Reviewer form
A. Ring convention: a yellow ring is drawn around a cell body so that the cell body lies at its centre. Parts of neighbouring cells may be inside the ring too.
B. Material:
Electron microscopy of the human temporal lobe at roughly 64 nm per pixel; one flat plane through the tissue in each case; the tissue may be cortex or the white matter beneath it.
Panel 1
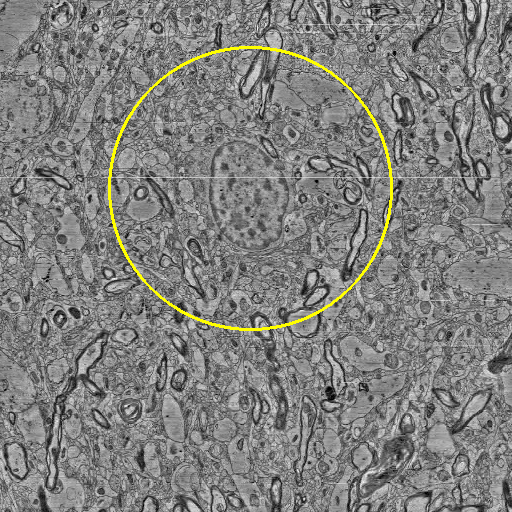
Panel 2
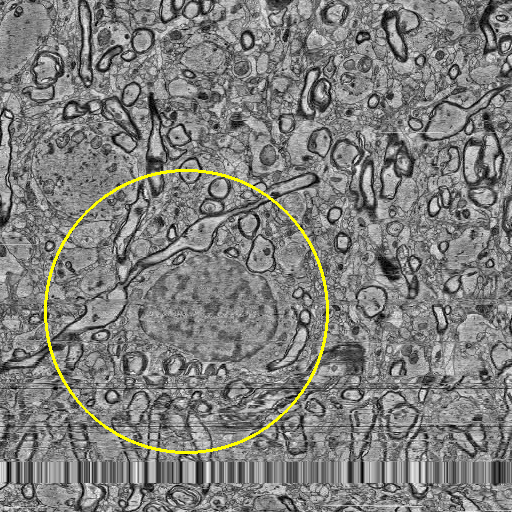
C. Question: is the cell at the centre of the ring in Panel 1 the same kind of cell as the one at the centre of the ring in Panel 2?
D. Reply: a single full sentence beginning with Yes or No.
Yes, the cells in Panel 1 and Panel 2 are the same kind of cell.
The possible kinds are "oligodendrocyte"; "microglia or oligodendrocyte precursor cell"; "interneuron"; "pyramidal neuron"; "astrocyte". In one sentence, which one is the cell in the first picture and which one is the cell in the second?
Each of the ringed cells, first and second, is an oligodendrocyte.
